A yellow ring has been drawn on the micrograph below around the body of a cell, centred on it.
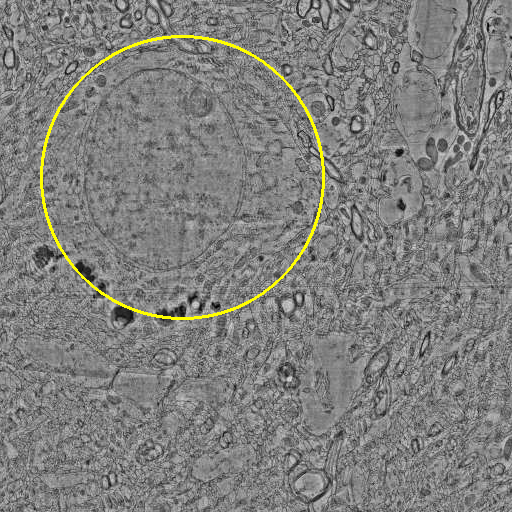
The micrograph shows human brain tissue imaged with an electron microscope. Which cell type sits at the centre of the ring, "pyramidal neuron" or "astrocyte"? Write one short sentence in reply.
The cell sitting at the centre of the ring is a pyramidal neuron.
